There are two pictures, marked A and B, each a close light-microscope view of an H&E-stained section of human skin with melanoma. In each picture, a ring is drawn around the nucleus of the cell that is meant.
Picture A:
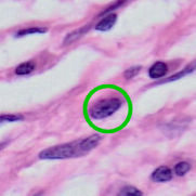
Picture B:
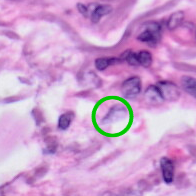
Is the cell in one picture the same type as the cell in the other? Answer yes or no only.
no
